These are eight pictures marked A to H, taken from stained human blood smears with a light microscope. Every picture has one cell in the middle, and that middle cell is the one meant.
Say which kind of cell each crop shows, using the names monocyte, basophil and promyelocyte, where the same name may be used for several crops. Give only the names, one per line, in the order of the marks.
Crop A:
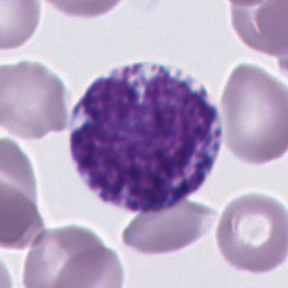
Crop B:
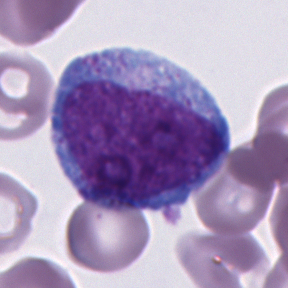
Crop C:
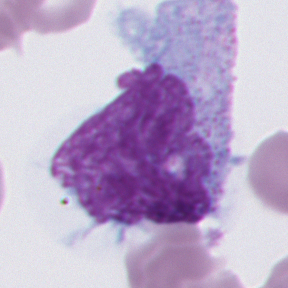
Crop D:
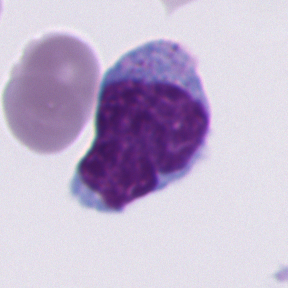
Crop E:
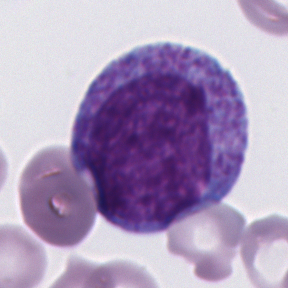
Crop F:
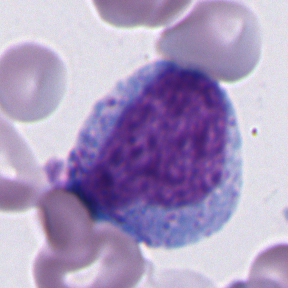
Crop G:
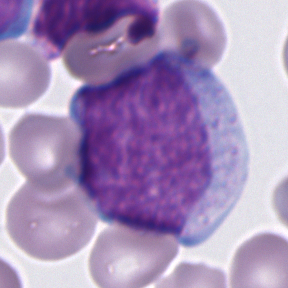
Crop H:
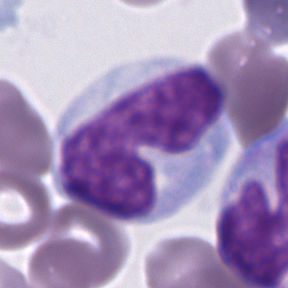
basophil
promyelocyte
monocyte
monocyte
promyelocyte
promyelocyte
promyelocyte
monocyte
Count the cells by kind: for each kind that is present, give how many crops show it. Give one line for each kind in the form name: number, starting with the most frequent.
promyelocyte: 4
monocyte: 3
basophil: 1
